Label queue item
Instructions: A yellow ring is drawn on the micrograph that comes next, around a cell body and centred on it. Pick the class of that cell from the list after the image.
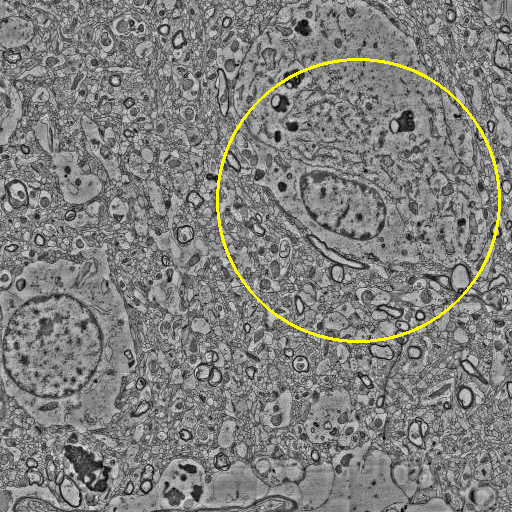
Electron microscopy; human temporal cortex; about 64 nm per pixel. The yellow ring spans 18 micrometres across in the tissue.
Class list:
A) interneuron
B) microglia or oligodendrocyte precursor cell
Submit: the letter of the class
B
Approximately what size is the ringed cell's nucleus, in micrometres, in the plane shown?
Clearly longer than it is wide in this plane, the nucleus measures roughly 6 by 4 micrometres.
